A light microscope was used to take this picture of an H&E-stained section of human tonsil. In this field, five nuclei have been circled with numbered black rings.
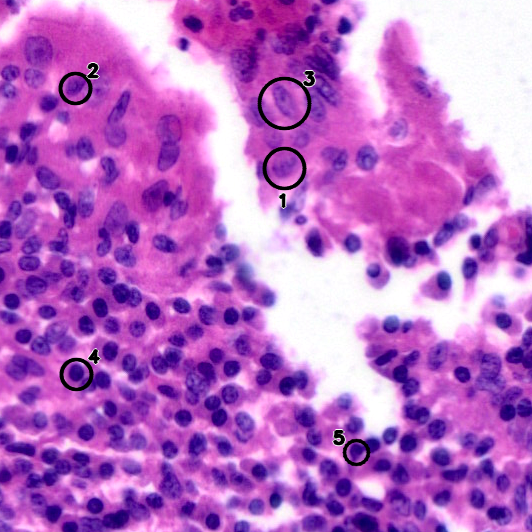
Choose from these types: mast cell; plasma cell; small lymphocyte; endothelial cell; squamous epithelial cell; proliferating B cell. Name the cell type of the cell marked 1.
squamous epithelial cell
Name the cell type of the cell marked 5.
plasma cell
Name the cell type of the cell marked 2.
squamous epithelial cell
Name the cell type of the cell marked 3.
squamous epithelial cell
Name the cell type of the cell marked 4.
plasma cell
